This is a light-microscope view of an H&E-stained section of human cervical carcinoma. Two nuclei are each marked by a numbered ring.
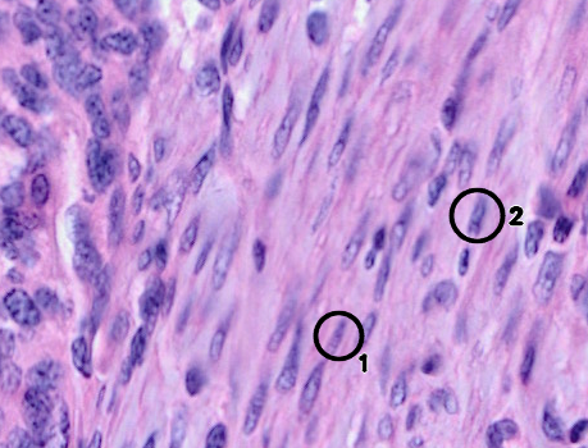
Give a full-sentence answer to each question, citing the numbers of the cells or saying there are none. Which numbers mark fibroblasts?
Cell 2 represents a fibroblast, and no other numbered cell does.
